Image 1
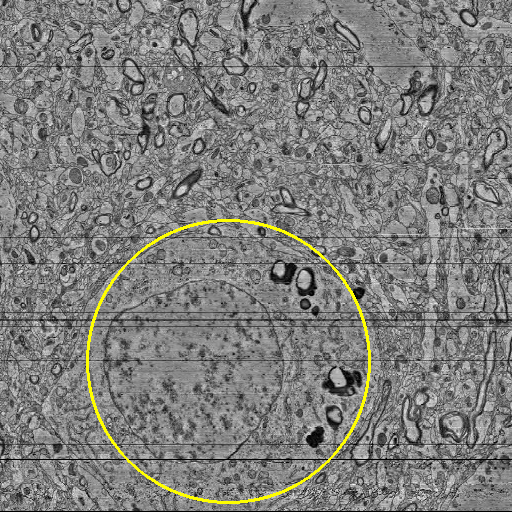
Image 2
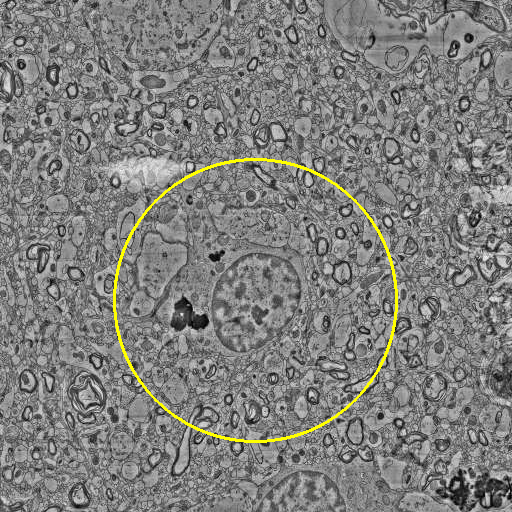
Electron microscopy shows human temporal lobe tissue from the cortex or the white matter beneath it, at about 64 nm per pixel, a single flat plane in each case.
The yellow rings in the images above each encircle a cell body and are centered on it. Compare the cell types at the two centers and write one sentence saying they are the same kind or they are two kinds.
Taken together, the two cells at the ring centers are two kinds.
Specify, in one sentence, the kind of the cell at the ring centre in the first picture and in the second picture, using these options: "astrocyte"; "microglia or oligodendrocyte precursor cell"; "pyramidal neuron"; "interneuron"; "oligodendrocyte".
So the first is a pyramidal neuron, the second an oligodendrocyte.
